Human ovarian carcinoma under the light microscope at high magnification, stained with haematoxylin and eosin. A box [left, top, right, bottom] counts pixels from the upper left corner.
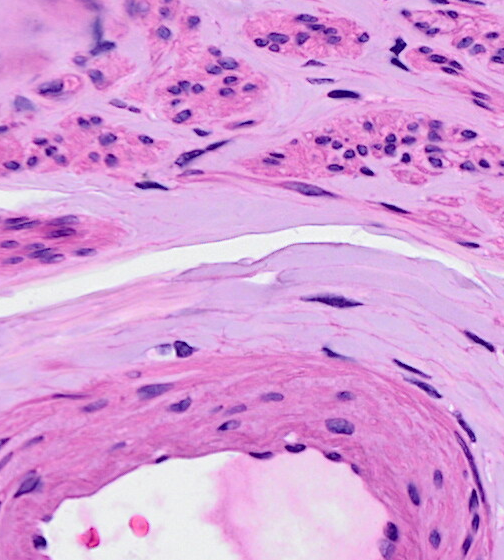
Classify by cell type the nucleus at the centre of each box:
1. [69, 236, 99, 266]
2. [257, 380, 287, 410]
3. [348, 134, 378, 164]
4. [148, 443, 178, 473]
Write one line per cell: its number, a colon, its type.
1: smooth muscle cell
2: smooth muscle cell
3: smooth muscle cell
4: endothelial cell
